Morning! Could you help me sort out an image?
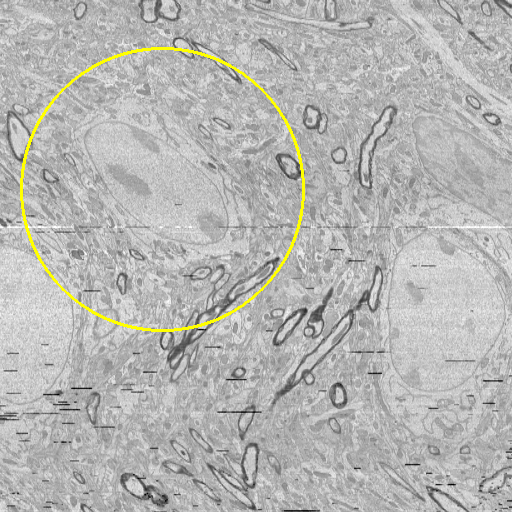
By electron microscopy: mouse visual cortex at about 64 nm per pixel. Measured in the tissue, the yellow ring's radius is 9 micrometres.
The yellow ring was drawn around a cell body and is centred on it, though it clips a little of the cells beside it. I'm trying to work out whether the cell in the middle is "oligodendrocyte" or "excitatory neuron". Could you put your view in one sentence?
The ringed cell body is that of an excitatory neuron.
